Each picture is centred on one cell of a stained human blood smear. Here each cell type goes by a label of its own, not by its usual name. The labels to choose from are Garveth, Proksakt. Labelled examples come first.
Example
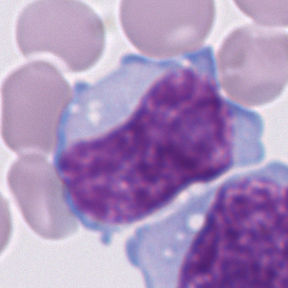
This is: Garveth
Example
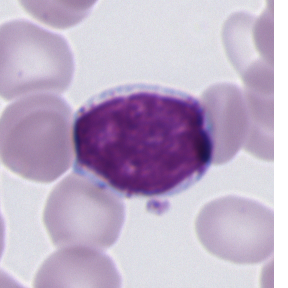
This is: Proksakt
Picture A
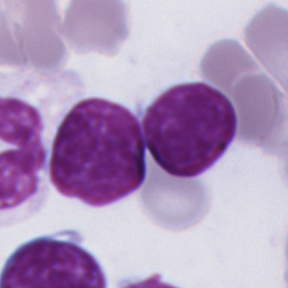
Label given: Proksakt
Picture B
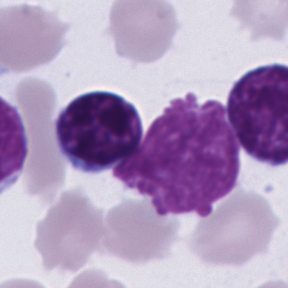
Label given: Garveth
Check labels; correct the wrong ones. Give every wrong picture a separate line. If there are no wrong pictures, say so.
A: change Proksakt to Garveth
